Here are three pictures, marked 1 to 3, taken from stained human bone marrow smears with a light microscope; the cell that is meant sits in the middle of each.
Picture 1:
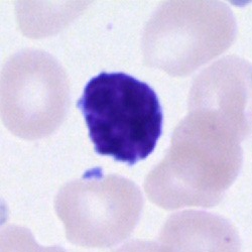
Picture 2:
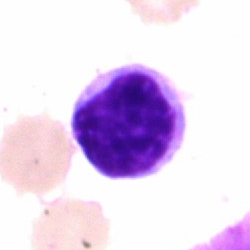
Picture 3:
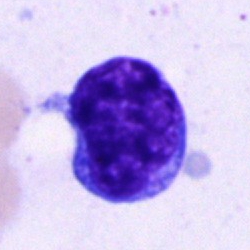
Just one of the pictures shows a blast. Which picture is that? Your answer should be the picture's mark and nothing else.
3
